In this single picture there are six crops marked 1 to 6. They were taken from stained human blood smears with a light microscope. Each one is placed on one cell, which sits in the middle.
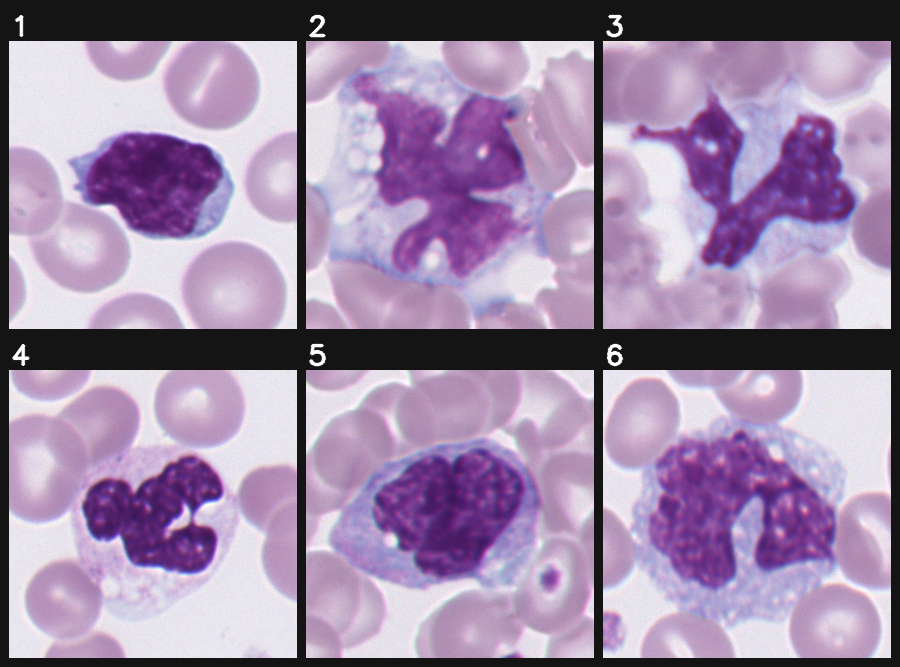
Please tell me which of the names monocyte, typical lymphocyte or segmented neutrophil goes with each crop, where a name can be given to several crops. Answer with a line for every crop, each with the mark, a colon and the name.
1: typical lymphocyte
2: monocyte
3: monocyte
4: segmented neutrophil
5: monocyte
6: monocyte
